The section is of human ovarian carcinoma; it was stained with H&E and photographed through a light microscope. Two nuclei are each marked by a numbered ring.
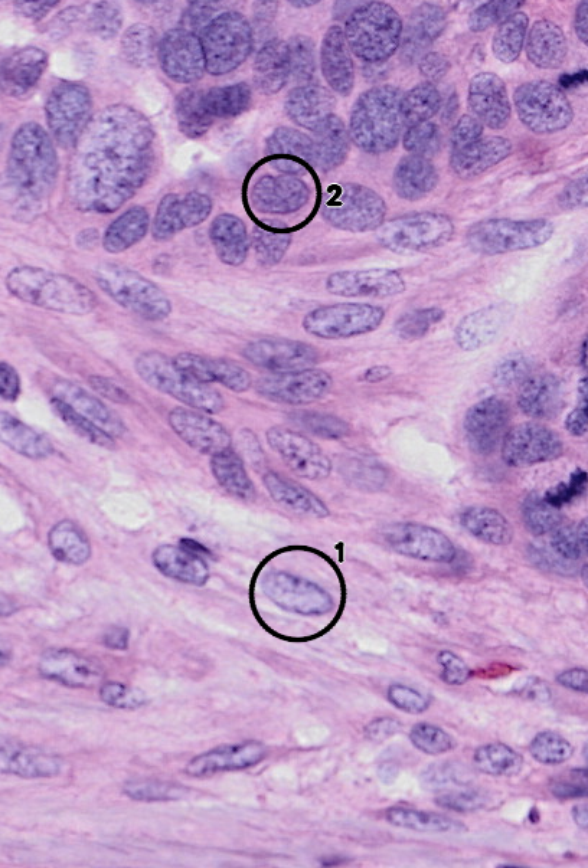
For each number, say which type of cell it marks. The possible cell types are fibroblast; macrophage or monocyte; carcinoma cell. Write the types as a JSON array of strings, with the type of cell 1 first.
["fibroblast", "carcinoma cell"]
